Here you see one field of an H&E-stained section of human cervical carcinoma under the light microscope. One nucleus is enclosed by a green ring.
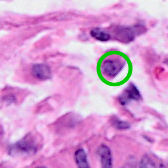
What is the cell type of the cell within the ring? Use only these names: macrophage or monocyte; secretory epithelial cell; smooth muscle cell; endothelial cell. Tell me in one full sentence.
As to its cell type, the cell within the ring is a macrophage or monocyte.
